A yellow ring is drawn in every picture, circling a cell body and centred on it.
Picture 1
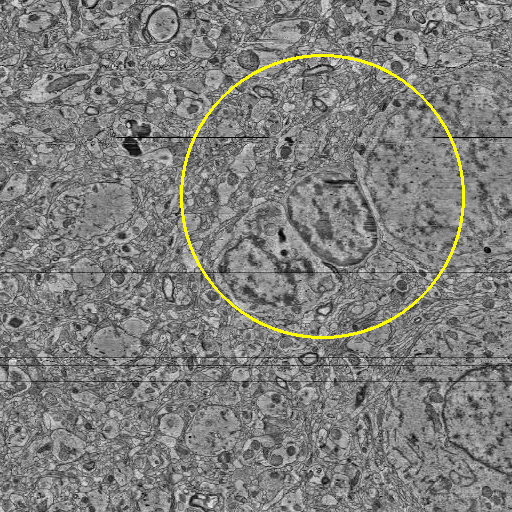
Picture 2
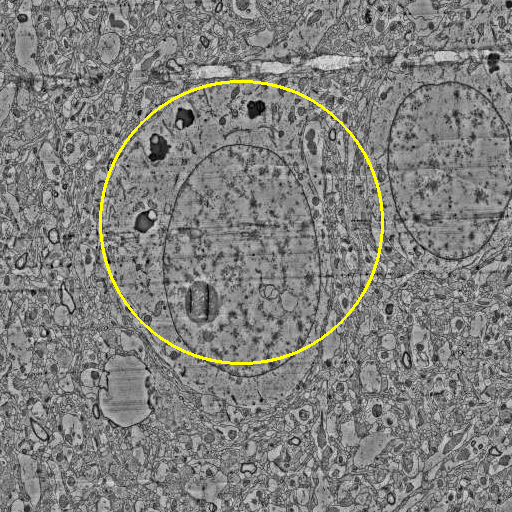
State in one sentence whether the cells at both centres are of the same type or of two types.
The cells at the two ring centres, one per picture, are of two types.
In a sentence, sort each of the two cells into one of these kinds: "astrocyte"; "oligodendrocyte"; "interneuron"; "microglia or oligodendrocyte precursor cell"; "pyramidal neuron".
The first of the two cells is an oligodendrocyte, and the second is a pyramidal neuron.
